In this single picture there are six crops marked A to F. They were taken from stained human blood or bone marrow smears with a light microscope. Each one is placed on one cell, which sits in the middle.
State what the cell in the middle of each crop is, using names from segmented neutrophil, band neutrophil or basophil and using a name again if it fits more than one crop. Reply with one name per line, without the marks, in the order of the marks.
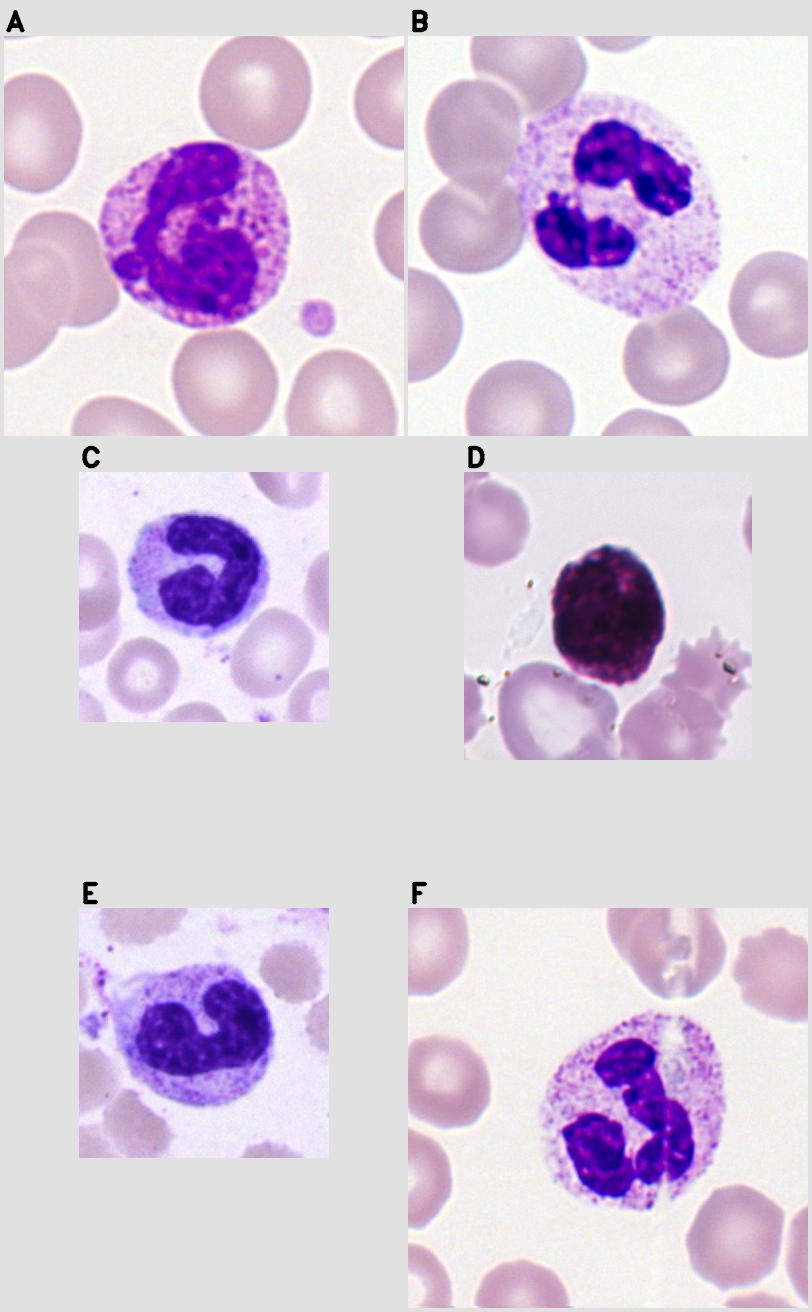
basophil
segmented neutrophil
band neutrophil
basophil
band neutrophil
segmented neutrophil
